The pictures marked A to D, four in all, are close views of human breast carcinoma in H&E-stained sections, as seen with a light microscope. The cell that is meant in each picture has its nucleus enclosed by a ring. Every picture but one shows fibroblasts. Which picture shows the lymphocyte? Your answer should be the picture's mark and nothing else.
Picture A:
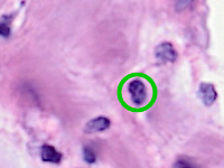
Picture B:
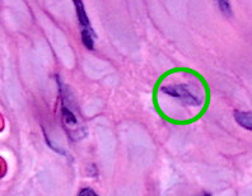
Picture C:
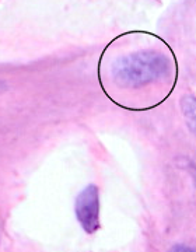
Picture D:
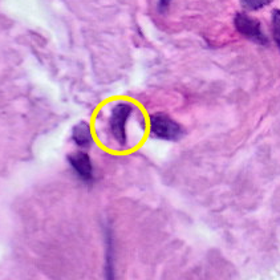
A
